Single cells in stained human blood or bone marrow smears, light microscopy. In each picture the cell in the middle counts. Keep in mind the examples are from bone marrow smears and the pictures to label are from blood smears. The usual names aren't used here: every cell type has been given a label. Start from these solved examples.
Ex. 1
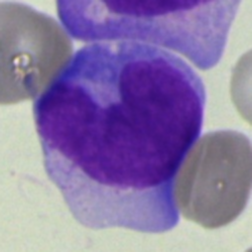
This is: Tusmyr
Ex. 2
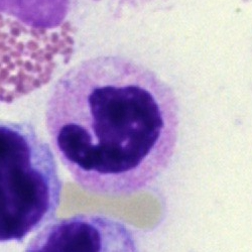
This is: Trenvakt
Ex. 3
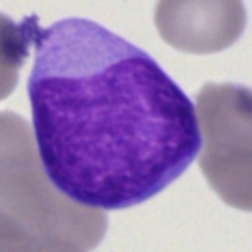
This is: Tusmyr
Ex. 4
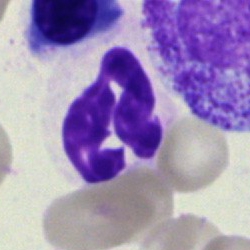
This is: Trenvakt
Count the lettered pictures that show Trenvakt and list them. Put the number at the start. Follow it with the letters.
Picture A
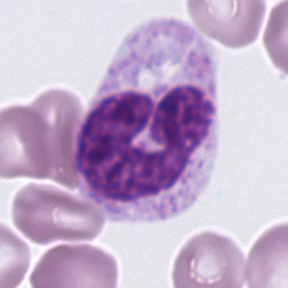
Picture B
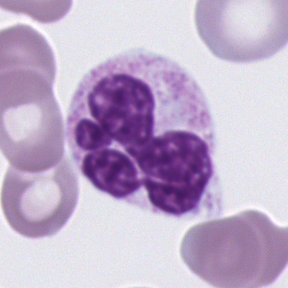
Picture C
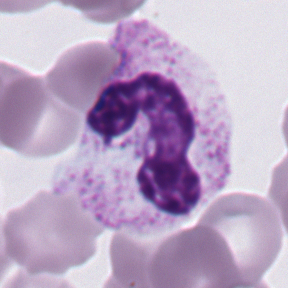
3, namely A, B, C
